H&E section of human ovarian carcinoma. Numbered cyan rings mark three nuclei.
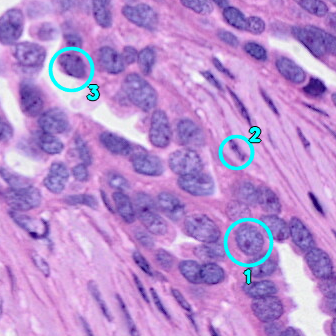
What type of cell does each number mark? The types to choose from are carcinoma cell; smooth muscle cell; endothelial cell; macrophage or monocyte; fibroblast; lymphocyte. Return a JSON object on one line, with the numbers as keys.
{"1": "carcinoma cell", "2": "fibroblast", "3": "carcinoma cell"}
